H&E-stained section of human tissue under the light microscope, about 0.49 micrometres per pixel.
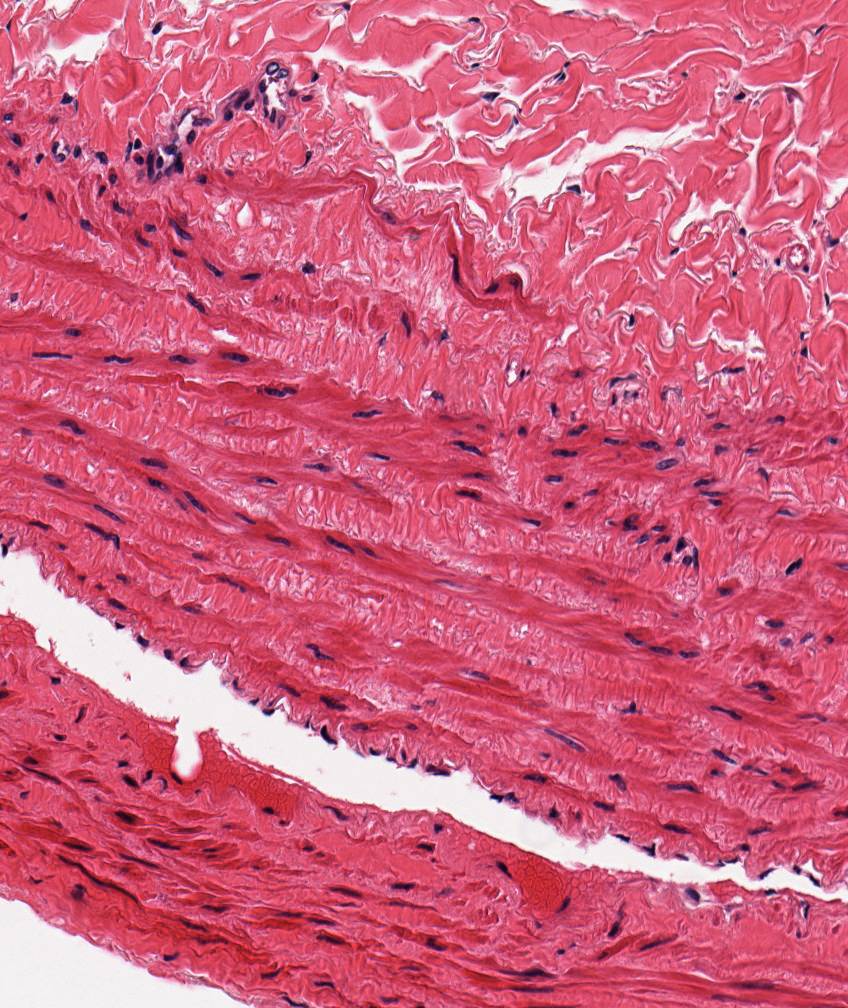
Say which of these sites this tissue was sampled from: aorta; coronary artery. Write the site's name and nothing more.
coronary artery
